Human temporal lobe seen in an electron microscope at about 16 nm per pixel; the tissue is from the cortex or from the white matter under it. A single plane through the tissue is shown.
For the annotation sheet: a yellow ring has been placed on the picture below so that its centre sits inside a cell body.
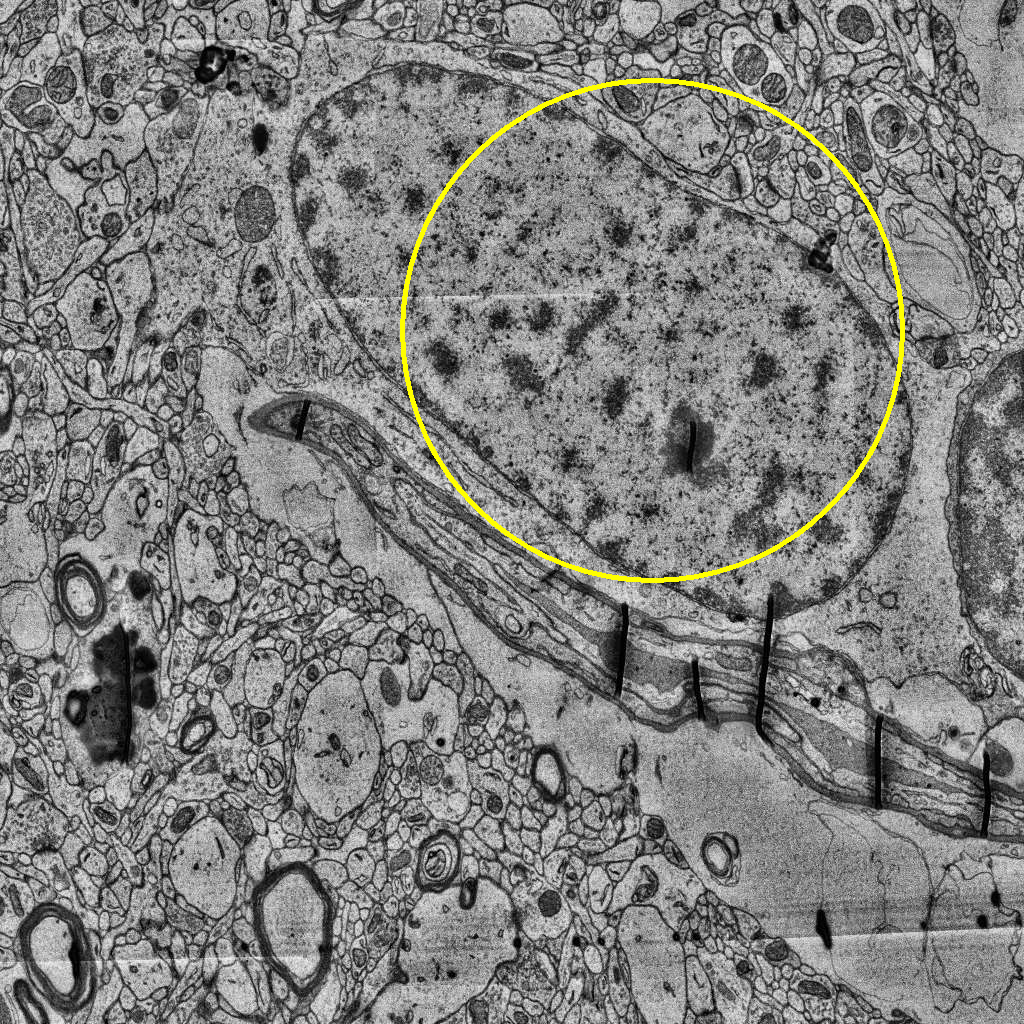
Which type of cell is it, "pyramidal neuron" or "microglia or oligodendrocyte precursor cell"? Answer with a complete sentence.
The cell at the ring's centre is a microglial cell or oligodendrocyte precursor cell.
